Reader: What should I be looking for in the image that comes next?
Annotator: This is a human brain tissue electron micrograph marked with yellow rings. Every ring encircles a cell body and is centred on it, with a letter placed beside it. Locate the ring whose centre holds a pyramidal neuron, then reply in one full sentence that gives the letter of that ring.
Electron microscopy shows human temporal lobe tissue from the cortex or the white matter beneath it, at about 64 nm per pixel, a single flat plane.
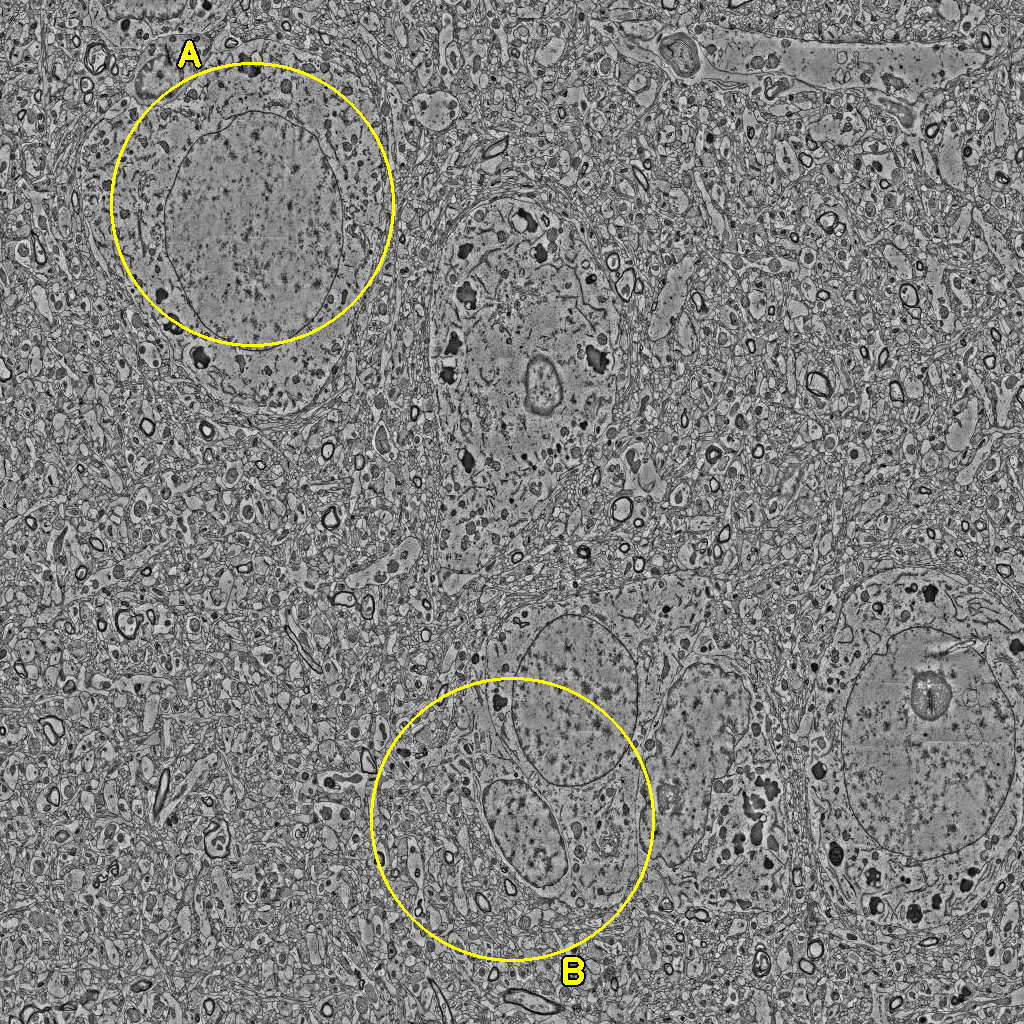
The ring centred on the cell asked for is the one labelled A.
